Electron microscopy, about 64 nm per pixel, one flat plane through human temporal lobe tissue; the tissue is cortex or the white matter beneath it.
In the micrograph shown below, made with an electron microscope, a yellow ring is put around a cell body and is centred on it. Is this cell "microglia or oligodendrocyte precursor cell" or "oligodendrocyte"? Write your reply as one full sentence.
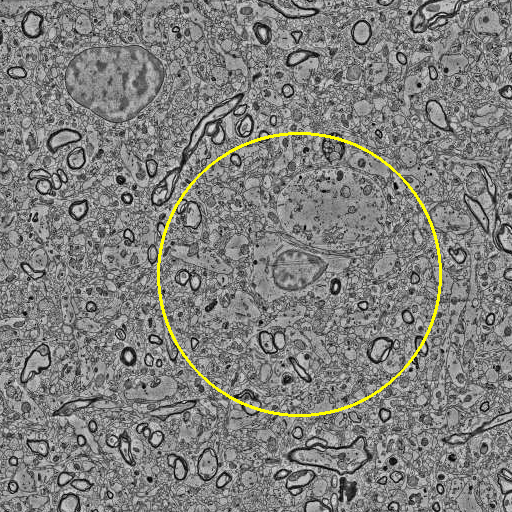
In the micrograph, a microglial cell or oligodendrocyte precursor cell is the cell at the centre of the yellow ring.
